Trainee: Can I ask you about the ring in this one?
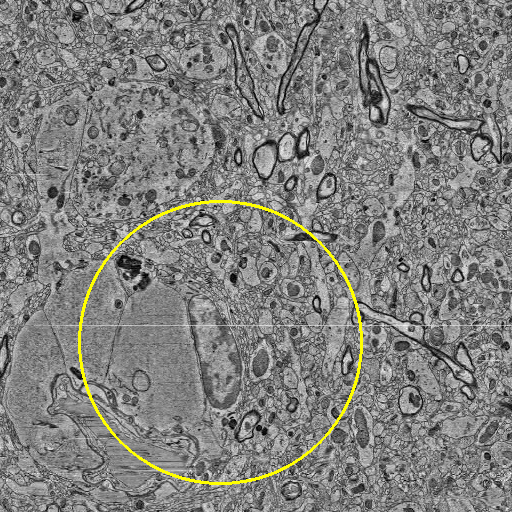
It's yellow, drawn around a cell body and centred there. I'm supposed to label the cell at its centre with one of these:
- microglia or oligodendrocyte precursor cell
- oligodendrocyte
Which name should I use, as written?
microglia or oligodendrocyte precursor cell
